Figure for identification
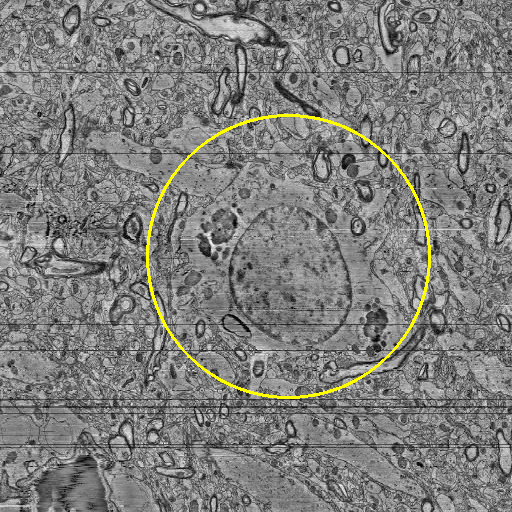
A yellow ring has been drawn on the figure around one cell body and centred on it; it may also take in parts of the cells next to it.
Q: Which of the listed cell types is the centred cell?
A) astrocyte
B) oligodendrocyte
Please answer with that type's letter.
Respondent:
A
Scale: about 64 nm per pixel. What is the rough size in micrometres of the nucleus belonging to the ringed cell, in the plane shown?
About 10 micrometres by about 8 micrometres in this plane.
